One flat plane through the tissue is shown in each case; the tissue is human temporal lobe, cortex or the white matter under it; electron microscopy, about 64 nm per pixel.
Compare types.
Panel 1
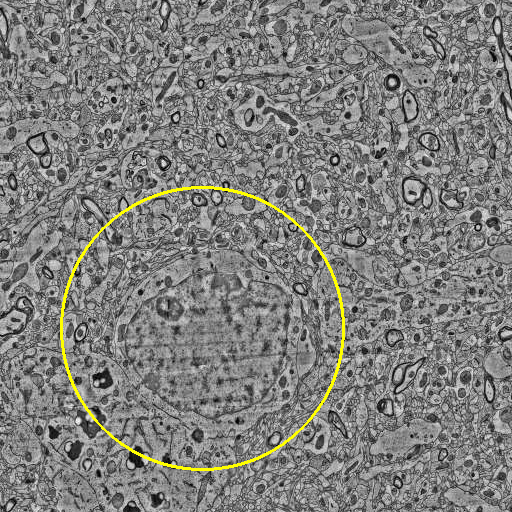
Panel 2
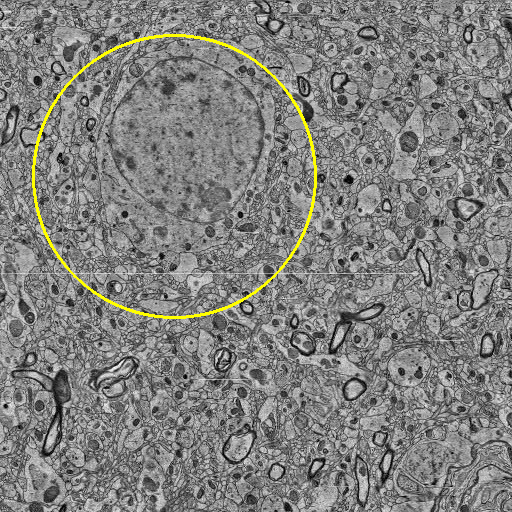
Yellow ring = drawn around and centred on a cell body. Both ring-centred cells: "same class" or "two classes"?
same class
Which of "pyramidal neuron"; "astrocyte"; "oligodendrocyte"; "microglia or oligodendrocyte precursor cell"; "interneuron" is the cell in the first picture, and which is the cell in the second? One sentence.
The first and the second cell are each an interneuron.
